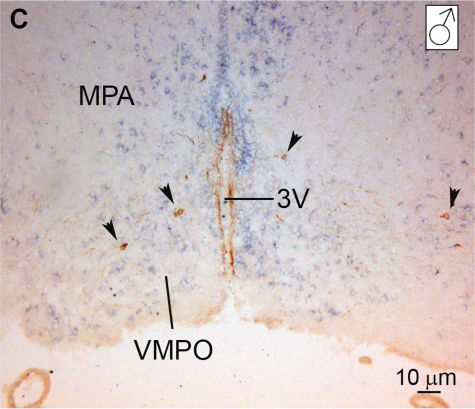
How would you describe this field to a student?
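Coronal section of the preoptic region on either side of the slit-like third ventricle, with many small purple-stained cells spread through the tissue. A few small brown neuron bodies, marked by arrowheads, lie scattered singly at some distance from the midline. Brown fibres run vertically along the walls of the ventricle. Purple-stained cells are denser near the ventricle and thin out laterally. Blood vessel profiles are seen at the lower edge.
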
